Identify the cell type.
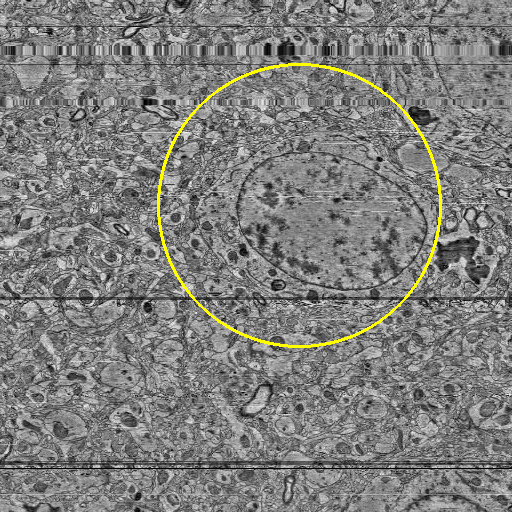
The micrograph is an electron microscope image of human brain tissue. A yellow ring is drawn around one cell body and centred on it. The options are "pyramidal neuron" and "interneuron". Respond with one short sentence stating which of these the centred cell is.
The cell body in the ring belongs to a pyramidal neuron.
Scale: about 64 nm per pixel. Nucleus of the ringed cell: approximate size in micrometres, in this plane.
In this plane the nucleus is about 12 micrometres by 9.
